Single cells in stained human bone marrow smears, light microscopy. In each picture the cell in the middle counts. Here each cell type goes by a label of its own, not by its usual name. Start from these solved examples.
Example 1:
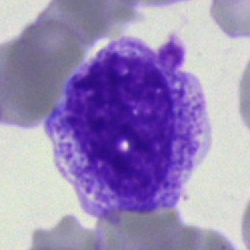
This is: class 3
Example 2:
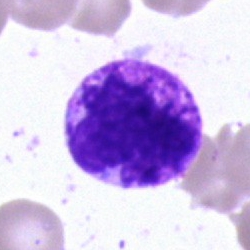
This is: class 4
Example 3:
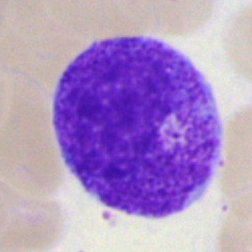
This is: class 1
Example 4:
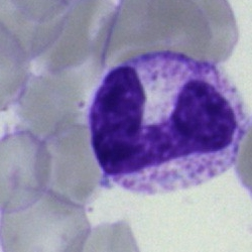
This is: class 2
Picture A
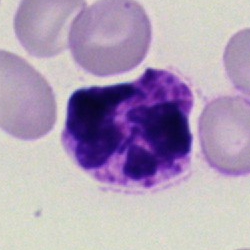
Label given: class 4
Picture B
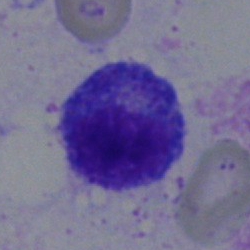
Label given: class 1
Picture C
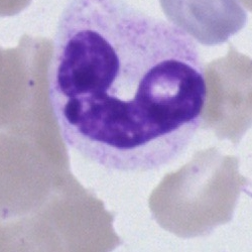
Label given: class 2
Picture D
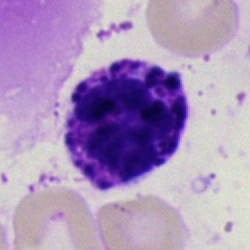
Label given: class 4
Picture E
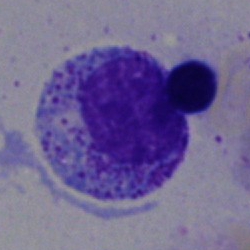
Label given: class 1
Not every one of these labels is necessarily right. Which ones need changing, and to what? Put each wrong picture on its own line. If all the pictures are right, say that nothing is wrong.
None of the labels needs changing.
